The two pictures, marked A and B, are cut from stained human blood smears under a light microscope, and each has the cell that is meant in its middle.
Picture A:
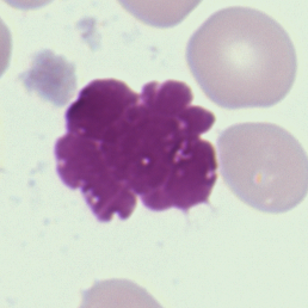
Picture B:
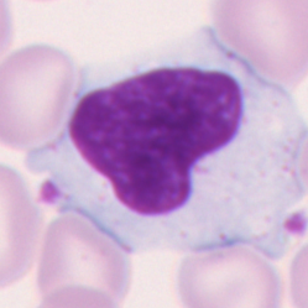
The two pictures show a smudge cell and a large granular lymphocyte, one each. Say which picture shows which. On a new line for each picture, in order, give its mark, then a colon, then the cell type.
A: smudge cell
B: large granular lymphocyte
